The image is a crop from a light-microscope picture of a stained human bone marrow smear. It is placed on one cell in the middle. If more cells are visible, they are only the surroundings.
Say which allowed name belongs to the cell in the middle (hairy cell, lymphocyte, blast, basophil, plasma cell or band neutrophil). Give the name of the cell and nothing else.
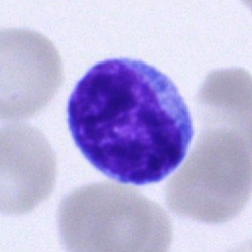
lymphocyte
